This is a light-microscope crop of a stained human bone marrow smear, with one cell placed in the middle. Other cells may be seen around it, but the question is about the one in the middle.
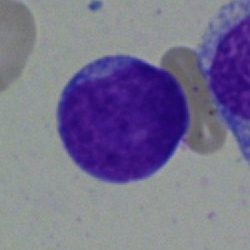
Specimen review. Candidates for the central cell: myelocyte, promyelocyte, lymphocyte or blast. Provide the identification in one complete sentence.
The cell at the heart of this crop is a blast.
